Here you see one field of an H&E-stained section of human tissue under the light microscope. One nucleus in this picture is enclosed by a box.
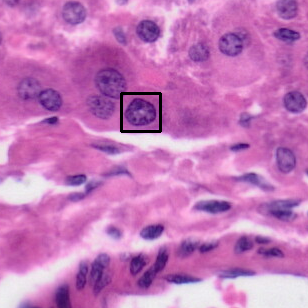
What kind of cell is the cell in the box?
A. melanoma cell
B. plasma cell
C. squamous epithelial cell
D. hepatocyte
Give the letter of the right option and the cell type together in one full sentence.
Option D, identifying the cell in the box as a hepatocyte, is correct.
